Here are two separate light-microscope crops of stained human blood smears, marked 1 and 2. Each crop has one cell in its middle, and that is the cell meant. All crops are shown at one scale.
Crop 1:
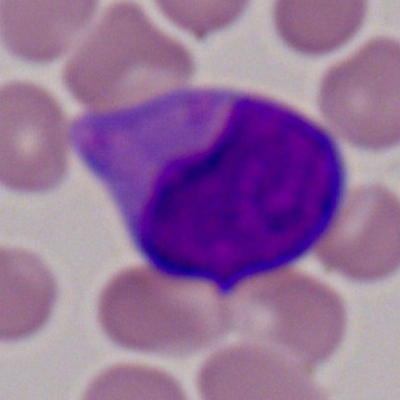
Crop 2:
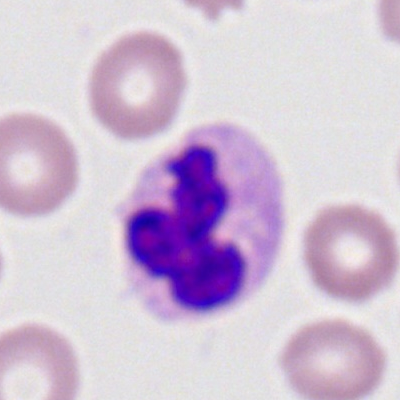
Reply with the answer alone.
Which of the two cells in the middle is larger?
1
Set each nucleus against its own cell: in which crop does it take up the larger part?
1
